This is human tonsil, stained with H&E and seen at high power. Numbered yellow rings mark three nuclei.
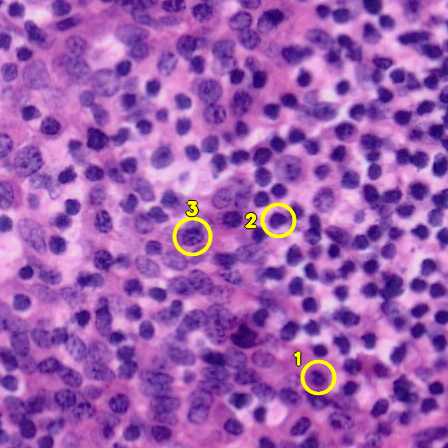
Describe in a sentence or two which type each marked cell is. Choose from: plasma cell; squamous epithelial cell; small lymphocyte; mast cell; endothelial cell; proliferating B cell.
Cells 1 and 3 are plasma cells. Cell 2 is a small lymphocyte.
